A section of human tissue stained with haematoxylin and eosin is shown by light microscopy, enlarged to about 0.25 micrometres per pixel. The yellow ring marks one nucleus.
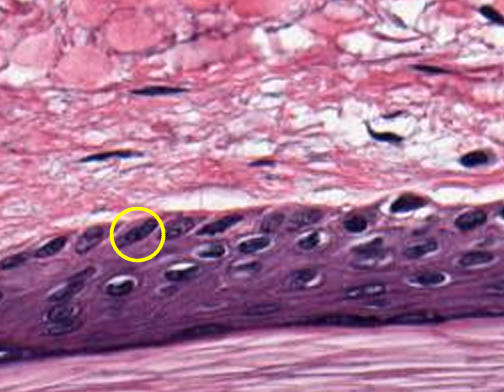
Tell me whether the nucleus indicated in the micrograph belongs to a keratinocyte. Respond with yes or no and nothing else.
yes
